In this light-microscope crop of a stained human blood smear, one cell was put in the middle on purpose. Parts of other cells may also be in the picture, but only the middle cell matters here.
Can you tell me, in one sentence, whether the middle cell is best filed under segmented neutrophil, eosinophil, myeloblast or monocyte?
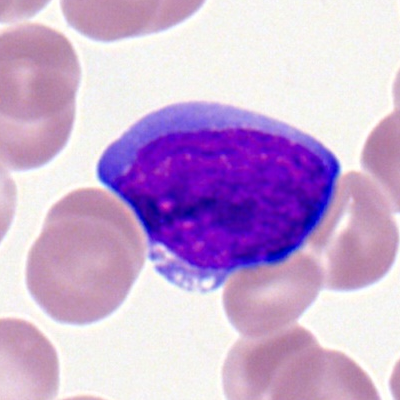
This crop's central cell is a myeloblast.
